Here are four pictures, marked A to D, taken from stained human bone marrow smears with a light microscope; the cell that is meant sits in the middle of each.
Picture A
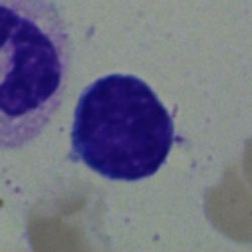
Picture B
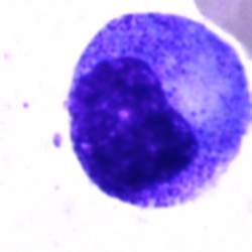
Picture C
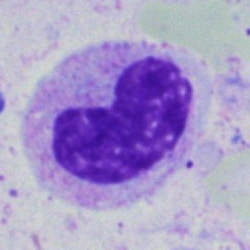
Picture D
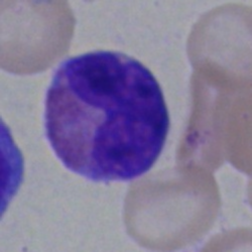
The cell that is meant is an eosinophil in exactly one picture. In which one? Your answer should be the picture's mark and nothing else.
D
